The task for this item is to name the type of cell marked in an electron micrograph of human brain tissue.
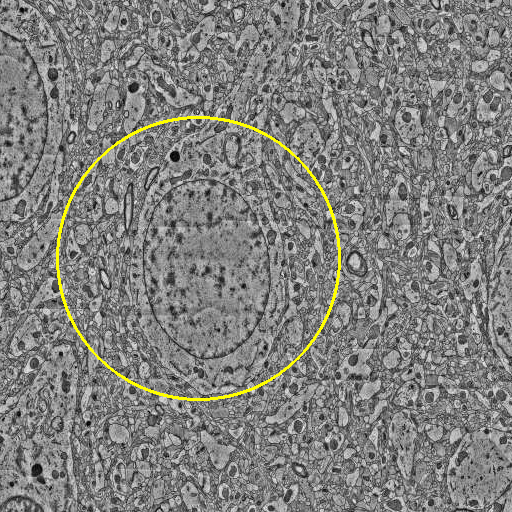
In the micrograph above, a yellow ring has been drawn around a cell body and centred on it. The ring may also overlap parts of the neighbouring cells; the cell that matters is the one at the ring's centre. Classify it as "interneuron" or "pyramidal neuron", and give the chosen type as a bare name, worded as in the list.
pyramidal neuron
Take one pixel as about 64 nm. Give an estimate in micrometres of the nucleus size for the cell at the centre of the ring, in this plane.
The ringed cell's nucleus is about 12 micrometres long and 8 micrometres wide in this plane.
